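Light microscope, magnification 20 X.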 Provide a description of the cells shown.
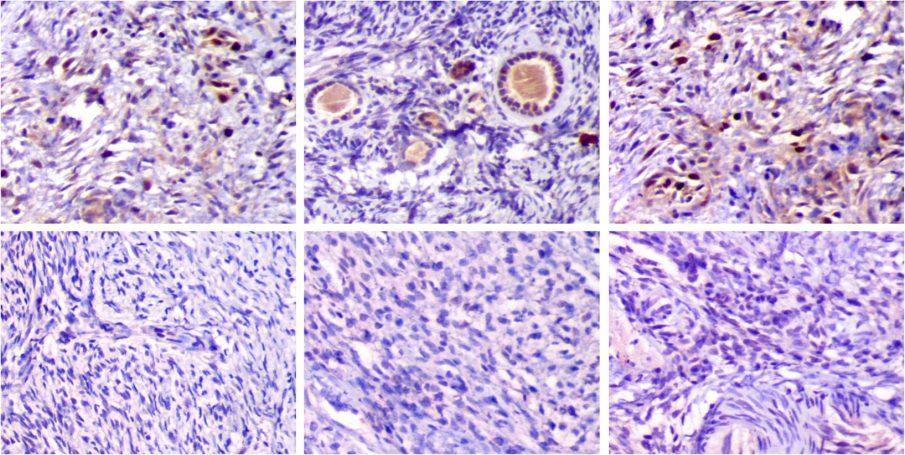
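Six fields of ovarian tissue show a dense stroma of spindle-shaped cells with elongated blue nuclei, packed in whorls and interlacing streams. In the upper three fields, scattered nuclei and some rounder, plumper cells take up brown stain. The lower three fields are almost entirely blue, with little or no brown stain in the stromal nuclei.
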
